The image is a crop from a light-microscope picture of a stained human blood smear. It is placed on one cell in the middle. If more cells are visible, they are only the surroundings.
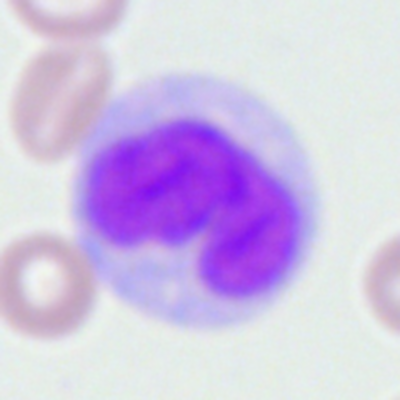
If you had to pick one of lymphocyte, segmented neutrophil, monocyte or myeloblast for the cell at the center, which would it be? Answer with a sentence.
Positioned in the middle of the crop is a monocyte.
